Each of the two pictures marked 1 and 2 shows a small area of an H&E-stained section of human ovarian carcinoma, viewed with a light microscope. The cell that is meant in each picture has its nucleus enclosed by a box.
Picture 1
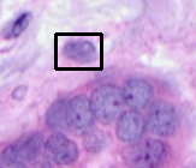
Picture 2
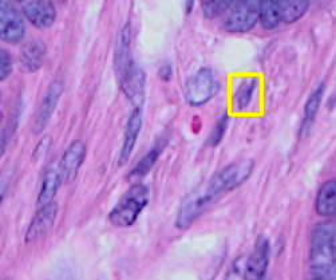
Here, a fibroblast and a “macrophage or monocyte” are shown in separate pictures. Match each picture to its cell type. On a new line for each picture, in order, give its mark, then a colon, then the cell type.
1: macrophage or monocyte
2: fibroblast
